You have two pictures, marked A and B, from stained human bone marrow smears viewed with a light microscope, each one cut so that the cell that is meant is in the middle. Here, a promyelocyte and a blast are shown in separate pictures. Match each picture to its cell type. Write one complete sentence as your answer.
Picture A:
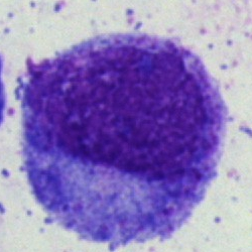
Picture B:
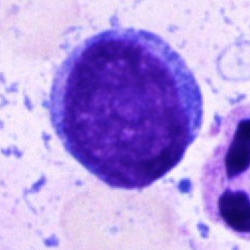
Picture A shows a promyelocyte and picture B shows a blast.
